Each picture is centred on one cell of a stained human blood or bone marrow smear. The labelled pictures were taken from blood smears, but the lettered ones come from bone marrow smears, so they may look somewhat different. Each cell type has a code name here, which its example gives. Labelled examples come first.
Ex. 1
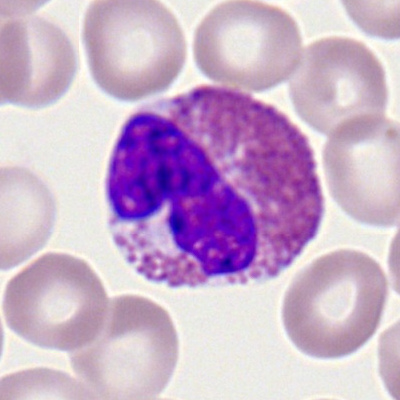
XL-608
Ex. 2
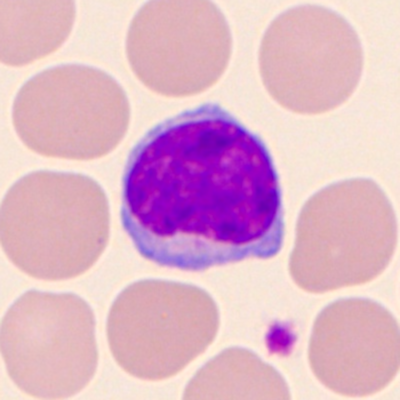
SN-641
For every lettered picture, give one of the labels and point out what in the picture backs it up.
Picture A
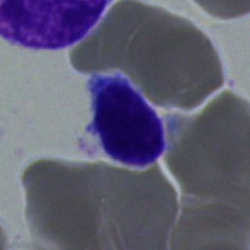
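SN-641. Evidence: The cytoplasm is very scant, so the nucleus fills almost the whole cell.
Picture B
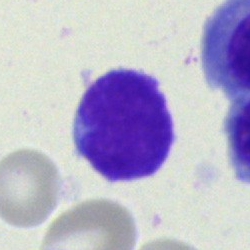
SN-641. Evidence: Only a scant rim of pale blue cytoplasm shows, mainly on the left side.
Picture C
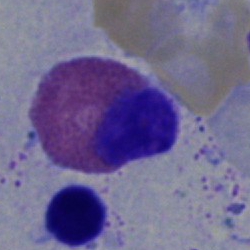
XL-608. Evidence: The cytoplasm is abundant and takes up more than half of the cell.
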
